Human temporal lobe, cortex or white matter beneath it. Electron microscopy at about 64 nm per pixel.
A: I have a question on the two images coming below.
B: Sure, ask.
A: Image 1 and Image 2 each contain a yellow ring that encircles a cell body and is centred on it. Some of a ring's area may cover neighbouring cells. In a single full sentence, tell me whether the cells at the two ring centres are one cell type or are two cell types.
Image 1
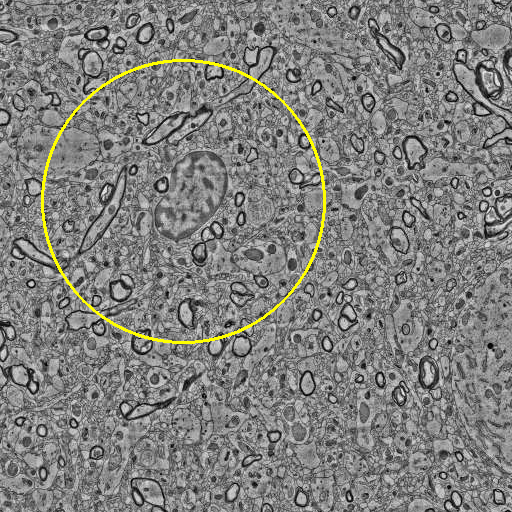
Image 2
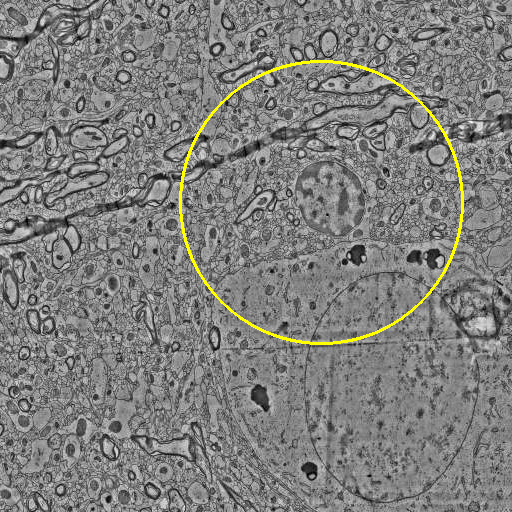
As for the ring-centre cells, the one in Image 1 and the one in Image 2 are one cell type.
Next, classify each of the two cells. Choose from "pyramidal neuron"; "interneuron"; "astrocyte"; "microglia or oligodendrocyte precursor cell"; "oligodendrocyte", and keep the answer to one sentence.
Both cells are the same kind, each one being a microglial cell or oligodendrocyte precursor cell.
